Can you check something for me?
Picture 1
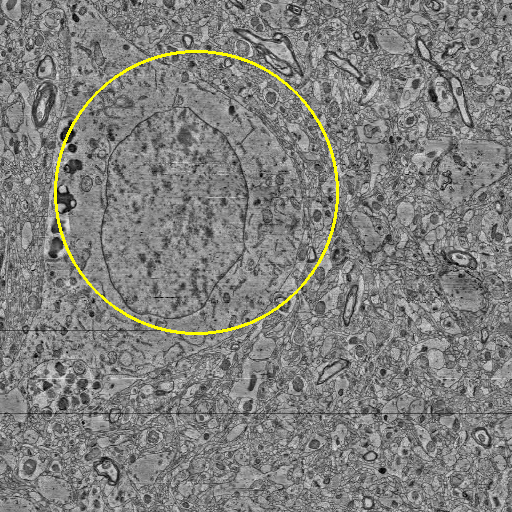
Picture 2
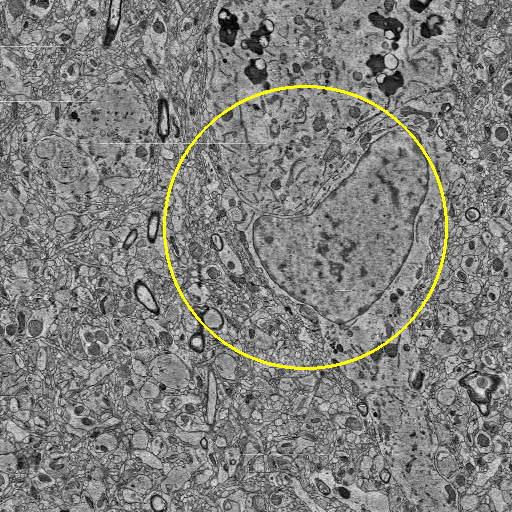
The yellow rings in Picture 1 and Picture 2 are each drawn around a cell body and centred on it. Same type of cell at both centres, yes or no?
no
